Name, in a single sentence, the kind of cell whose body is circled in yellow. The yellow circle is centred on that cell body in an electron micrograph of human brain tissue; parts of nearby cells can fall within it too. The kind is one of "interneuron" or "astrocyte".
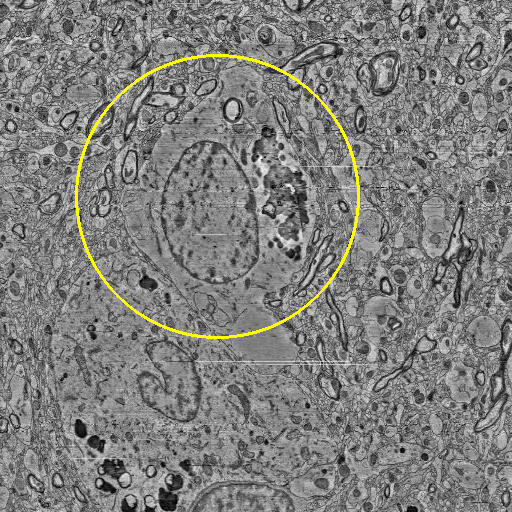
The circled cell body belongs to an astrocyte.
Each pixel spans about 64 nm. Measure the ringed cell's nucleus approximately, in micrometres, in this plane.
The nucleus is approximately 9 micrometres long but only about 6 wide, clearly longer than it is wide in this plane.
